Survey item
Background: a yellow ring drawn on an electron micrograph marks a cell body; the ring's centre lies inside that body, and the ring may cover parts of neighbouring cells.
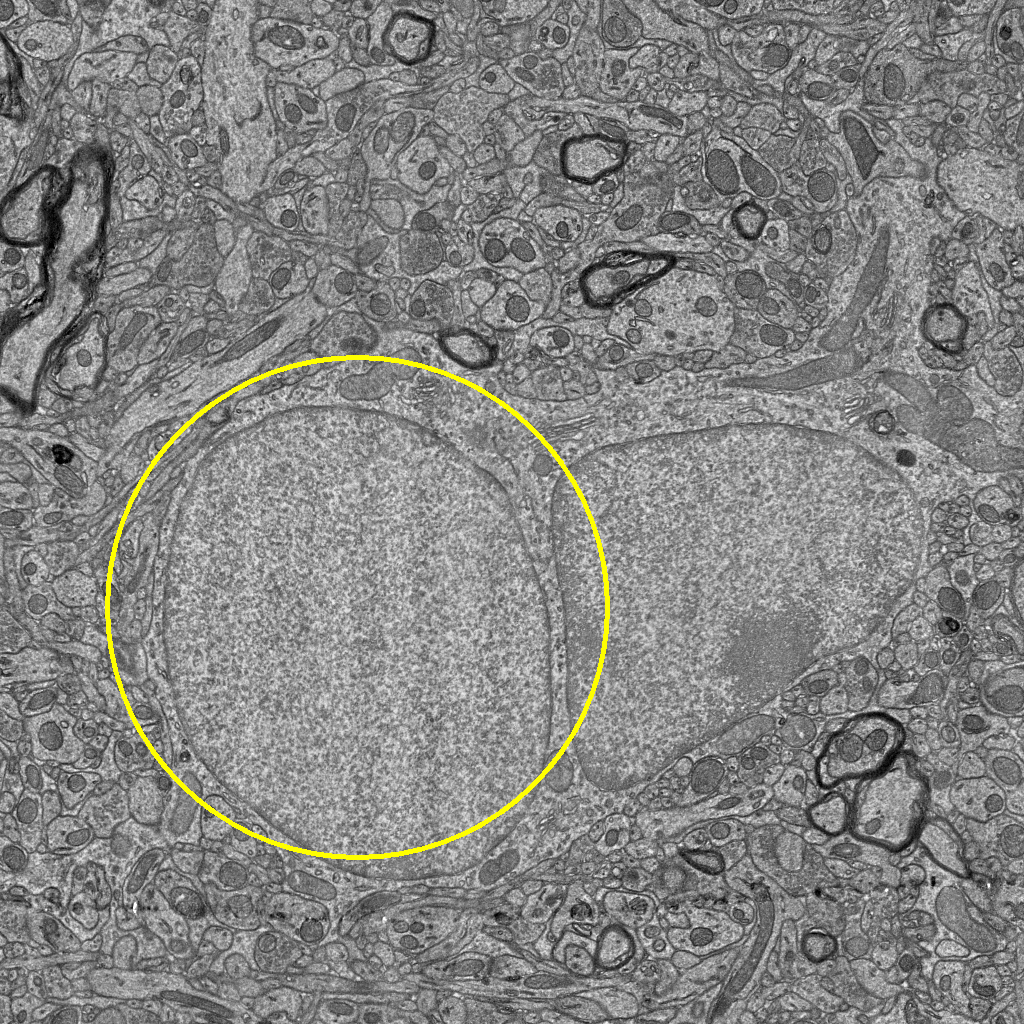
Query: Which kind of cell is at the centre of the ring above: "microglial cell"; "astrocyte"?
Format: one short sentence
The cell in the middle of the ring is an astrocyte.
